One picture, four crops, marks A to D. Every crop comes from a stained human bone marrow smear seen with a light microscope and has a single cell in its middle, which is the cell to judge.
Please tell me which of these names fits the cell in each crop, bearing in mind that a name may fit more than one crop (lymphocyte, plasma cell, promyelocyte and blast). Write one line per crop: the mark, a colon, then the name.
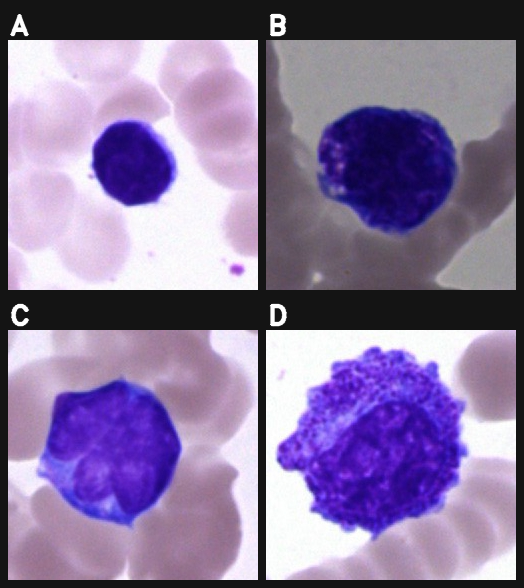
A: lymphocyte
B: promyelocyte
C: blast
D: promyelocyte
